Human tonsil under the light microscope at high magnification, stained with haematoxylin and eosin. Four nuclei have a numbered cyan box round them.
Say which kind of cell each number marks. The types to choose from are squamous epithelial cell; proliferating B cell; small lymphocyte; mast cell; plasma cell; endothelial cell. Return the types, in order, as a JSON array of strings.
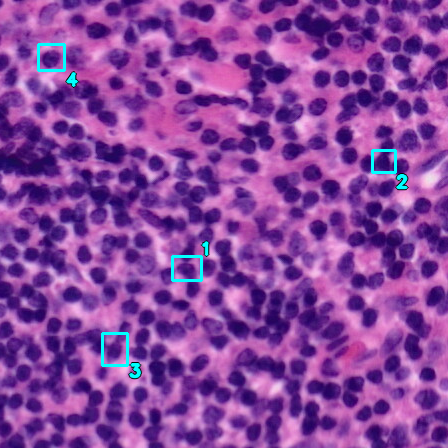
["small lymphocyte", "small lymphocyte", "small lymphocyte", "plasma cell"]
